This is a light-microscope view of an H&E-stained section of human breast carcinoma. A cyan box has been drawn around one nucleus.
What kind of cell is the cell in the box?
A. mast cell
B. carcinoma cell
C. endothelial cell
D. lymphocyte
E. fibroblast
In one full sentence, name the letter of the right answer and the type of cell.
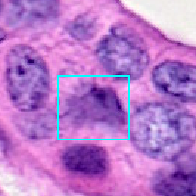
Option B is the right one; the cell in the box is a carcinoma cell.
